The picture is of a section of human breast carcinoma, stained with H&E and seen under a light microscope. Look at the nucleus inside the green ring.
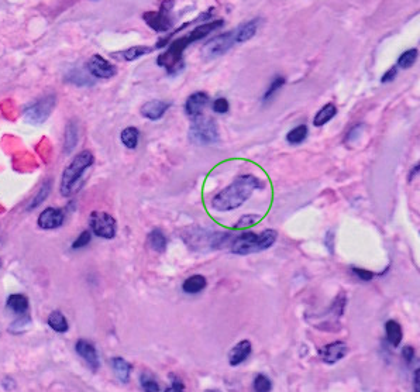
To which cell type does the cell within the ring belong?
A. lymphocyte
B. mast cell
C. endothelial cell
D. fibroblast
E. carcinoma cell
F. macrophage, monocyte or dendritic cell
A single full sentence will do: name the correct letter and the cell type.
Option F is the correct one: the cell within the ring is a macrophage, monocyte or dendritic cell.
